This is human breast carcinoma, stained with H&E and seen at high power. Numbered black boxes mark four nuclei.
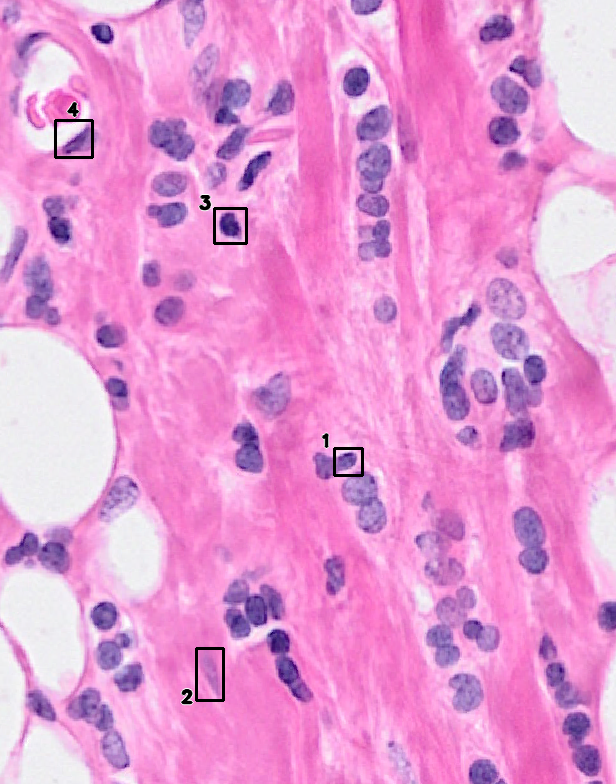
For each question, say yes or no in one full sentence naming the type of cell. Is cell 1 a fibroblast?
No, cell 1 is classified as a lymphocyte rather than a fibroblast.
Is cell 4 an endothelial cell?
Yes, on this slide, the cell with number 4 is an endothelial cell.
